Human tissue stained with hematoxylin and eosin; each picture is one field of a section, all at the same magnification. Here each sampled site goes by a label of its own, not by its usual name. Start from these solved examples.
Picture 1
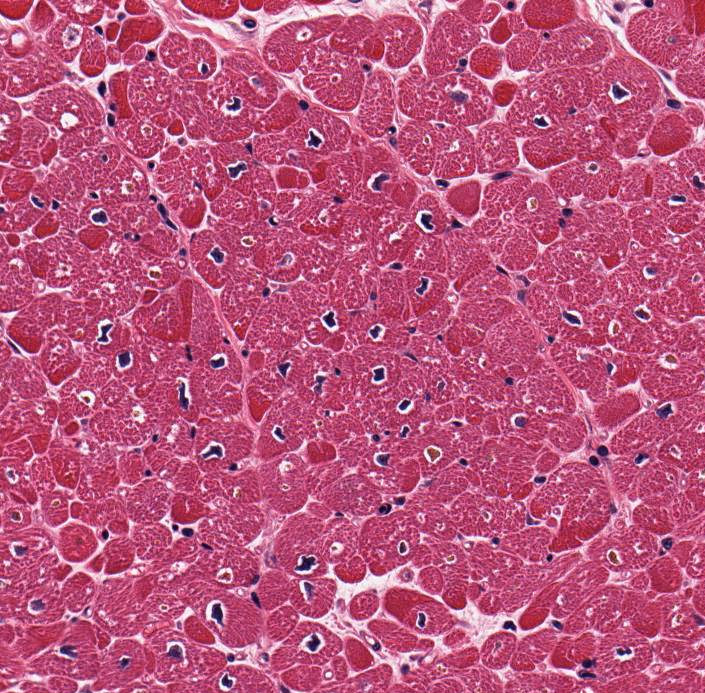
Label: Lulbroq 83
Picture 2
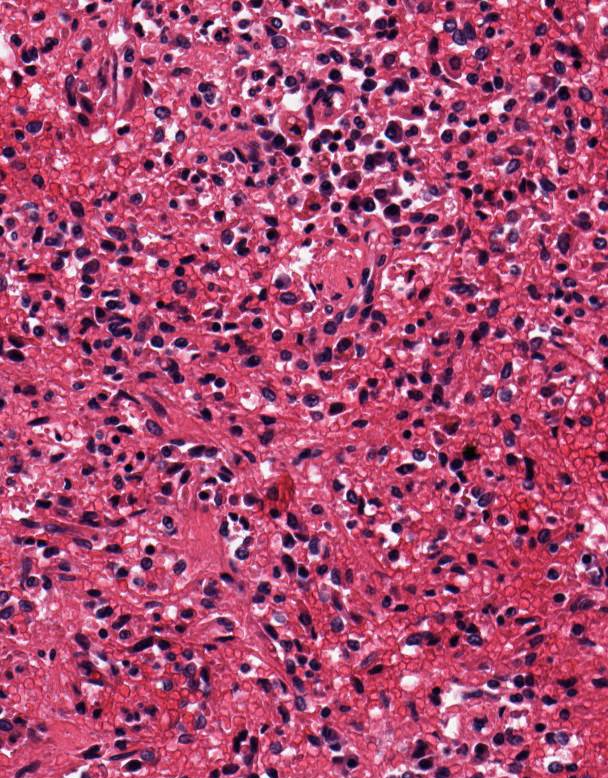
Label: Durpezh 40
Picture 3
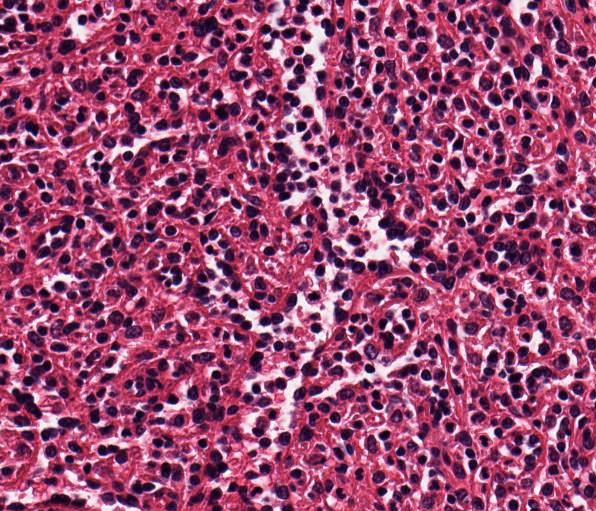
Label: Durpezh 40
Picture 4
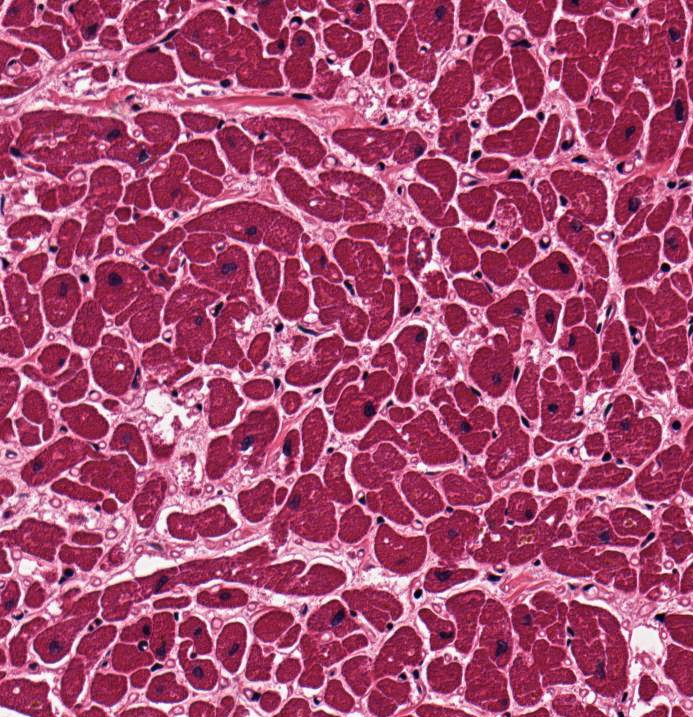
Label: Lulbroq 83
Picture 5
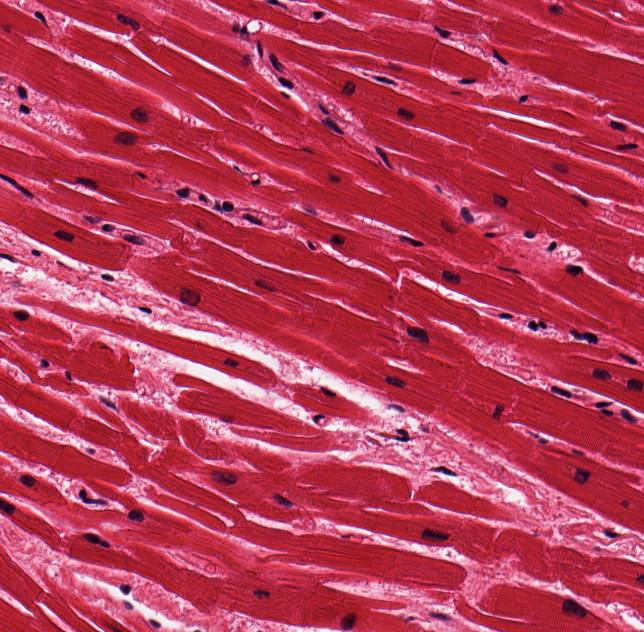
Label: Lulbroq 83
